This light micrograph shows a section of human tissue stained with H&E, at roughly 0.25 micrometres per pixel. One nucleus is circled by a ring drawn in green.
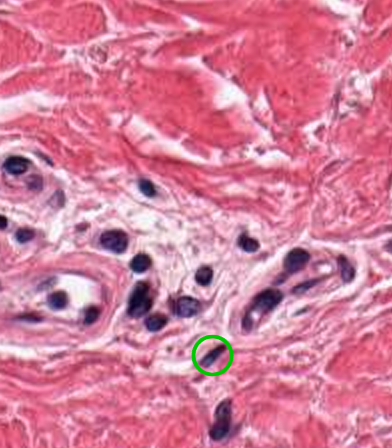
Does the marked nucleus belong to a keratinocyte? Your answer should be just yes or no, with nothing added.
no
